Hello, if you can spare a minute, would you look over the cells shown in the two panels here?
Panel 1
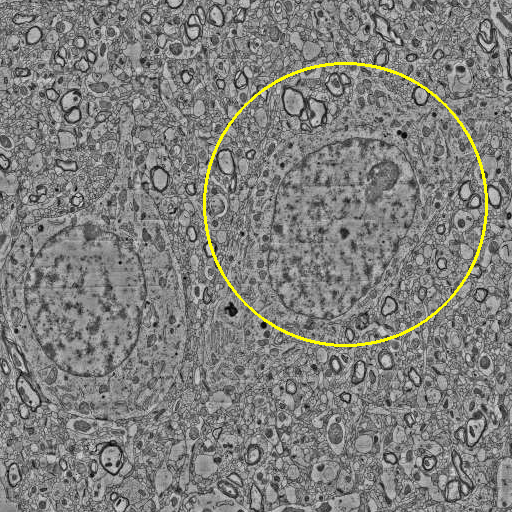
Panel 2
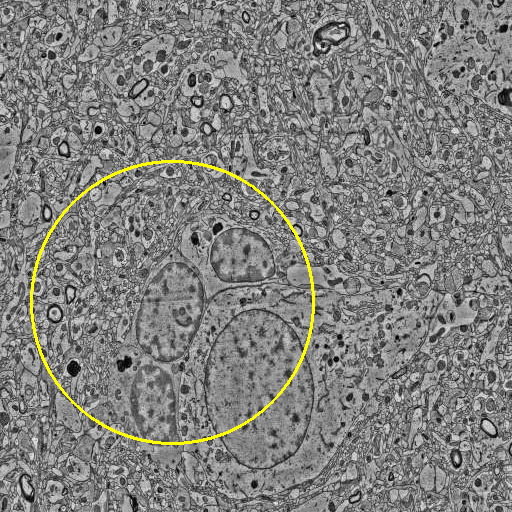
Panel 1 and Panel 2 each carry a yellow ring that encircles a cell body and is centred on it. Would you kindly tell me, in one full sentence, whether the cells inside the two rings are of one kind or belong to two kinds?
The cells at the centres of the rings in Panel 1 and Panel 2 belong to two kinds.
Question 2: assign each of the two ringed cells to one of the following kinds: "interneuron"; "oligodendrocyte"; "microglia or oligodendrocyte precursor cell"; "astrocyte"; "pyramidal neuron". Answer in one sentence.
The two cells are an interneuron in the first picture and an oligodendrocyte in the second.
